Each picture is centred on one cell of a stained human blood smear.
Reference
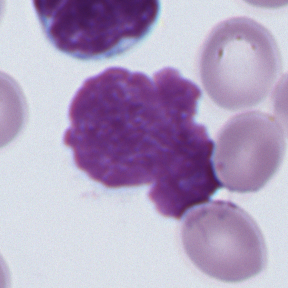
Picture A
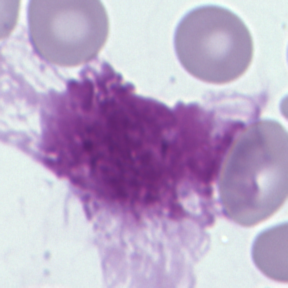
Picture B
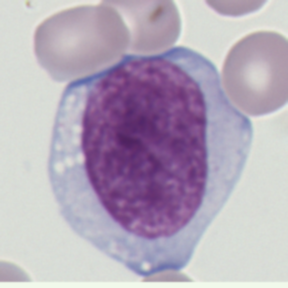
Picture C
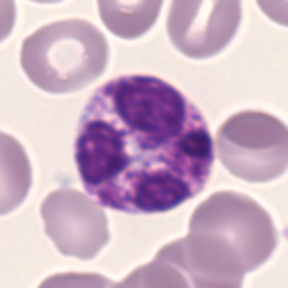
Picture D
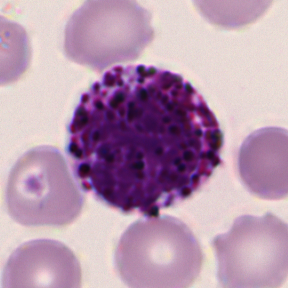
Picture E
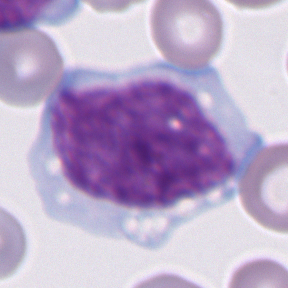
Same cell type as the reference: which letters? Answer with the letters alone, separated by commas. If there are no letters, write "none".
A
